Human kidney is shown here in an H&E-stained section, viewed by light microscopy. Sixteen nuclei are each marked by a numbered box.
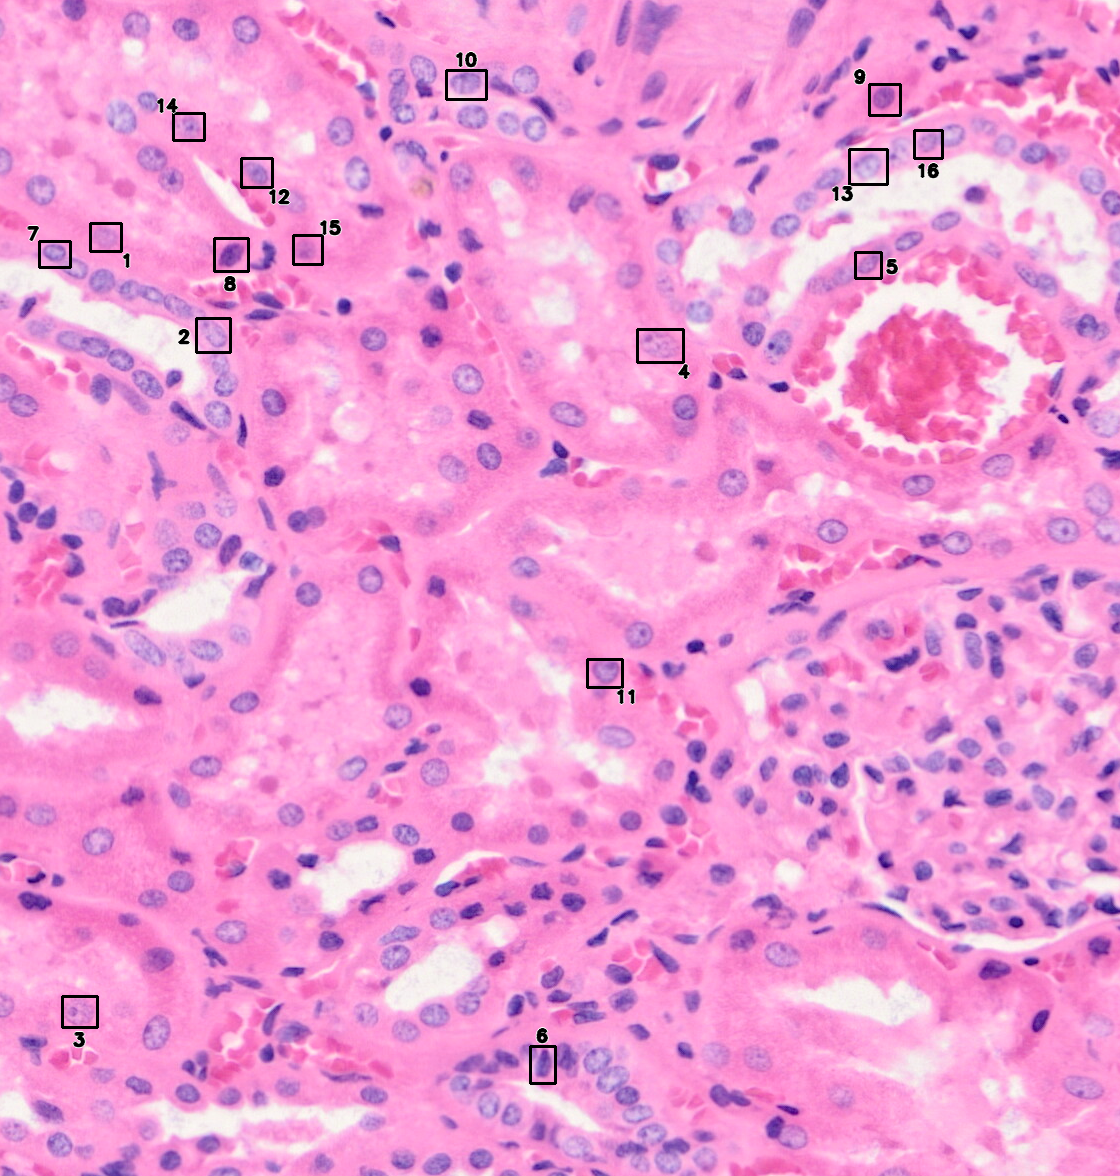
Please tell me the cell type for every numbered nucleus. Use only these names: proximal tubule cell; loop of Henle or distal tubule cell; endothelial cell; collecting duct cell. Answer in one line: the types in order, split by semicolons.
proximal tubule cell; collecting duct cell; proximal tubule cell; proximal tubule cell; collecting duct cell; collecting duct cell; collecting duct cell; proximal tubule cell; proximal tubule cell; collecting duct cell; proximal tubule cell; proximal tubule cell; collecting duct cell; proximal tubule cell; proximal tubule cell; collecting duct cell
